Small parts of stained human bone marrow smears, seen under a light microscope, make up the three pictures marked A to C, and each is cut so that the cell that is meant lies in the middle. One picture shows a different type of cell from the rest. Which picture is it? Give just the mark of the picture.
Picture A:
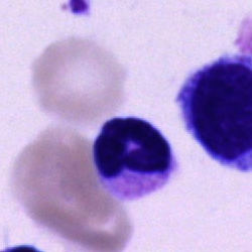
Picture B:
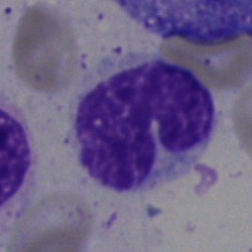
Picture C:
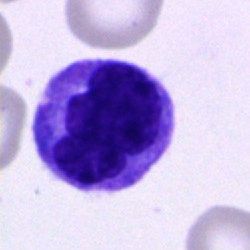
A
